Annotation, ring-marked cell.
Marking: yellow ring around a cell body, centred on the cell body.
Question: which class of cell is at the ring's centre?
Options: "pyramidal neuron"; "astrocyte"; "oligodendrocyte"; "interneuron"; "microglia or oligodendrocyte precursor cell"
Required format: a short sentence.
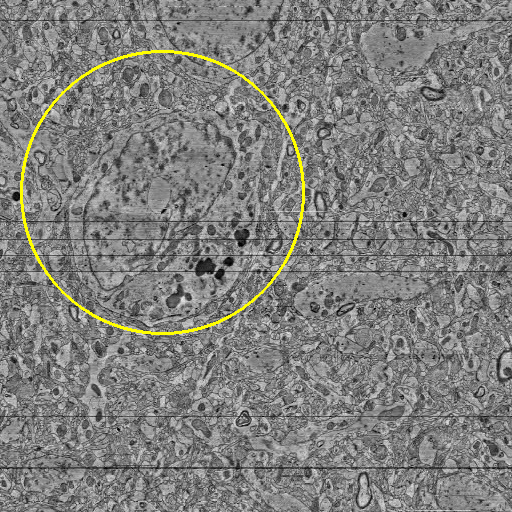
At the ring's centre is an astrocyte.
